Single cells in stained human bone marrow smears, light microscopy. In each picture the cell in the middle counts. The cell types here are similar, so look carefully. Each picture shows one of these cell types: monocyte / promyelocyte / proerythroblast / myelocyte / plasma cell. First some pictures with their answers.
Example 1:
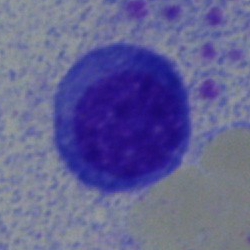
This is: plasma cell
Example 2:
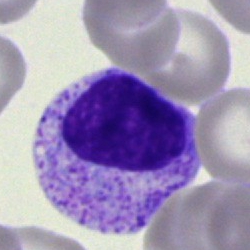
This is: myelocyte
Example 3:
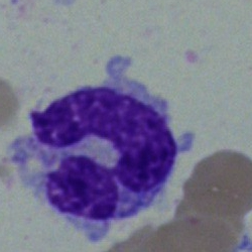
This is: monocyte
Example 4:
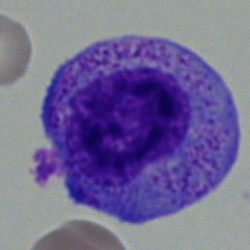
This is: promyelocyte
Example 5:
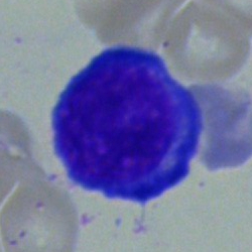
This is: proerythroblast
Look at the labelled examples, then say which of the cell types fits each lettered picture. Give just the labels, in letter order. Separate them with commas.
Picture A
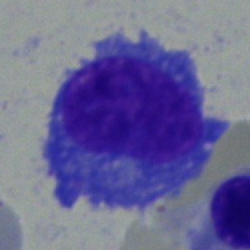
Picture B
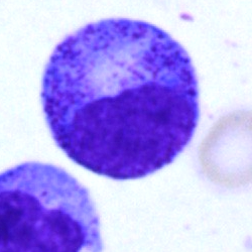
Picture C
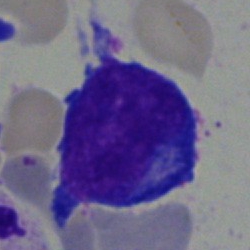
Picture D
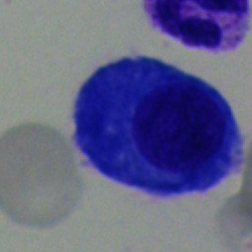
plasma cell, promyelocyte, proerythroblast, plasma cell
